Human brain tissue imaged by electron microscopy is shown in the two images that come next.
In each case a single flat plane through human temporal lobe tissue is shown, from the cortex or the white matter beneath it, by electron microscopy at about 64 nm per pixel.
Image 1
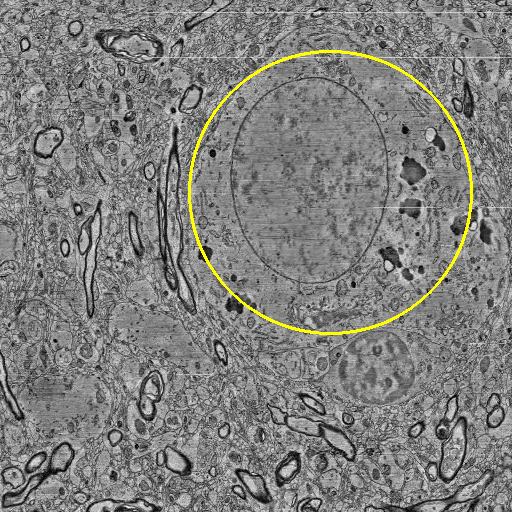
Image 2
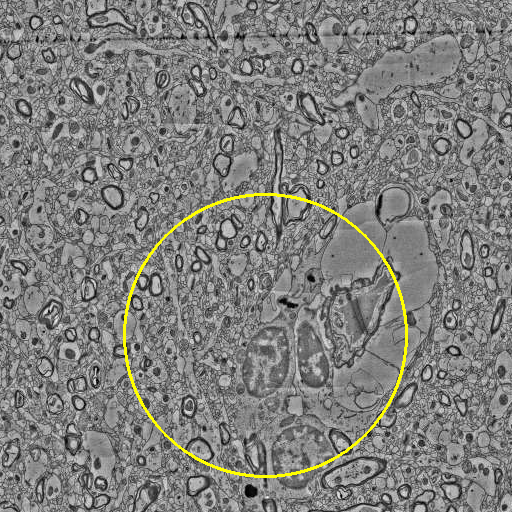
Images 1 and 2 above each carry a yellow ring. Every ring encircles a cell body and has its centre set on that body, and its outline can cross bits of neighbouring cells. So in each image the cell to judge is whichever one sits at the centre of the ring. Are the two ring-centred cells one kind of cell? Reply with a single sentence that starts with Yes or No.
No, in Image 1 and Image 2 the cells at the centres of their rings fall into two types.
